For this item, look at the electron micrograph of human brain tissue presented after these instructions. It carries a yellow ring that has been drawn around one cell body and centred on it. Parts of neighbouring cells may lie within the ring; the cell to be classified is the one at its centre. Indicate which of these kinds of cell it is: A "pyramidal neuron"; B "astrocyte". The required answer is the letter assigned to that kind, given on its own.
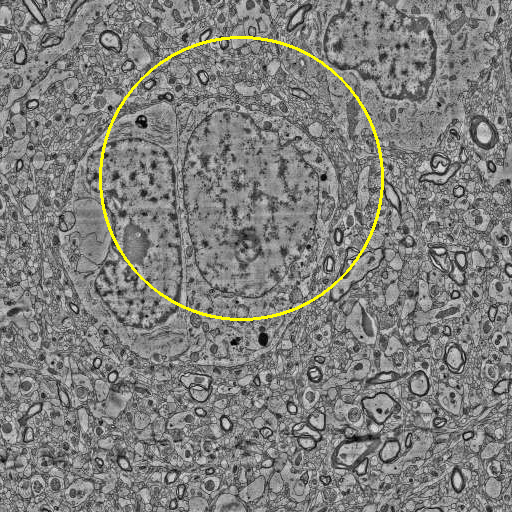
A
